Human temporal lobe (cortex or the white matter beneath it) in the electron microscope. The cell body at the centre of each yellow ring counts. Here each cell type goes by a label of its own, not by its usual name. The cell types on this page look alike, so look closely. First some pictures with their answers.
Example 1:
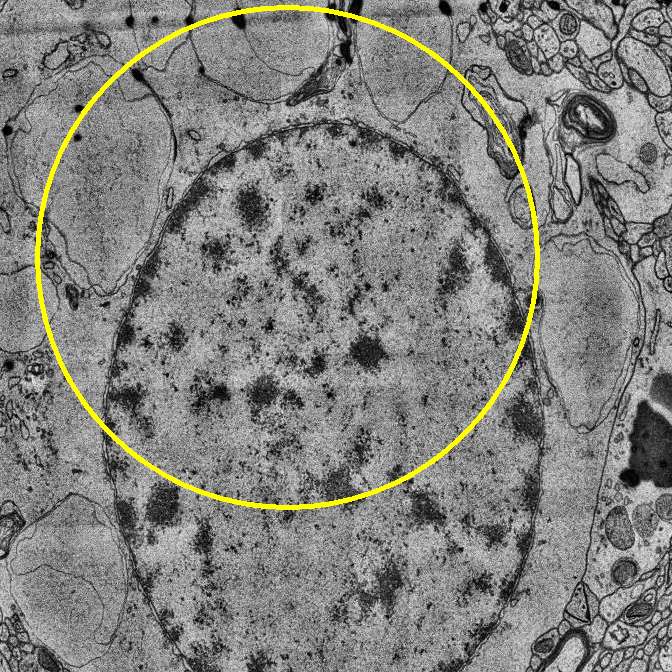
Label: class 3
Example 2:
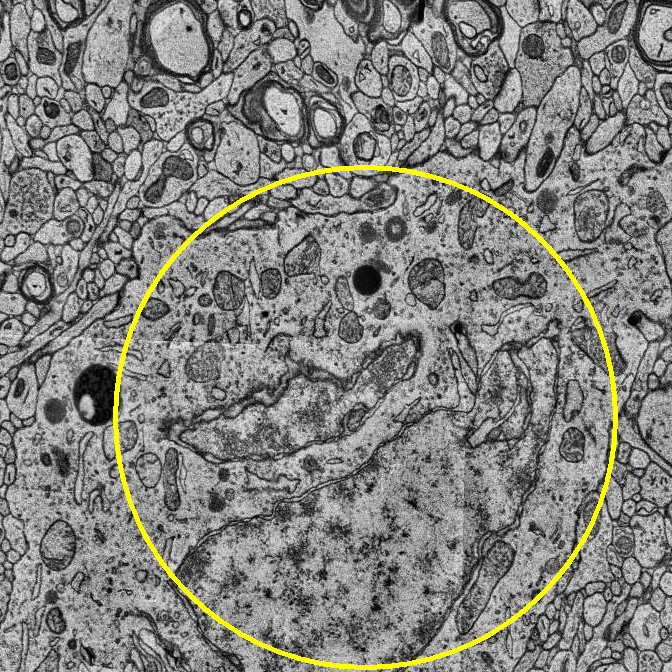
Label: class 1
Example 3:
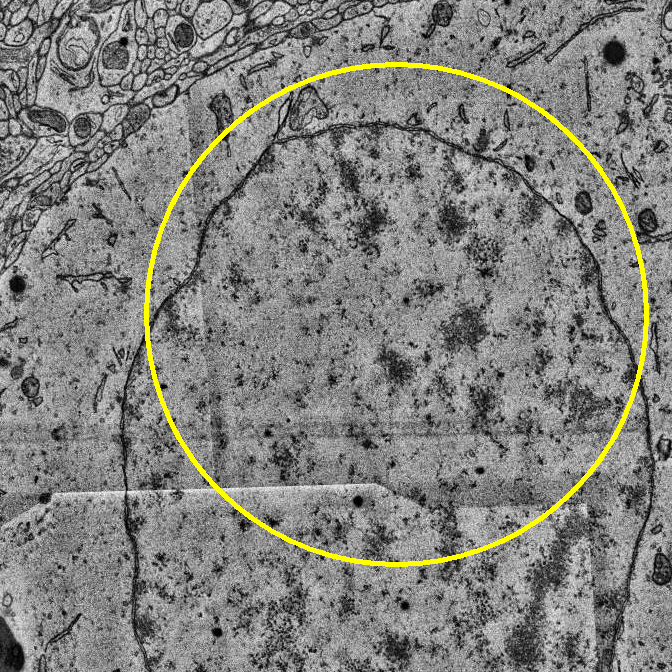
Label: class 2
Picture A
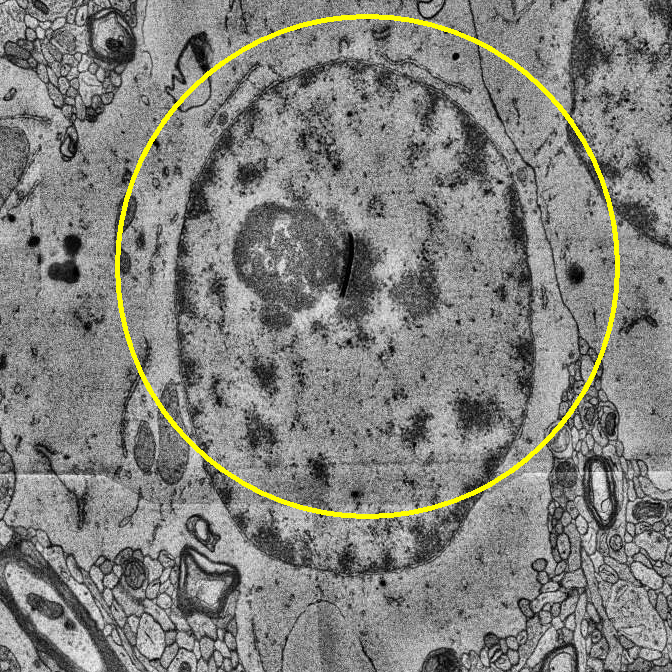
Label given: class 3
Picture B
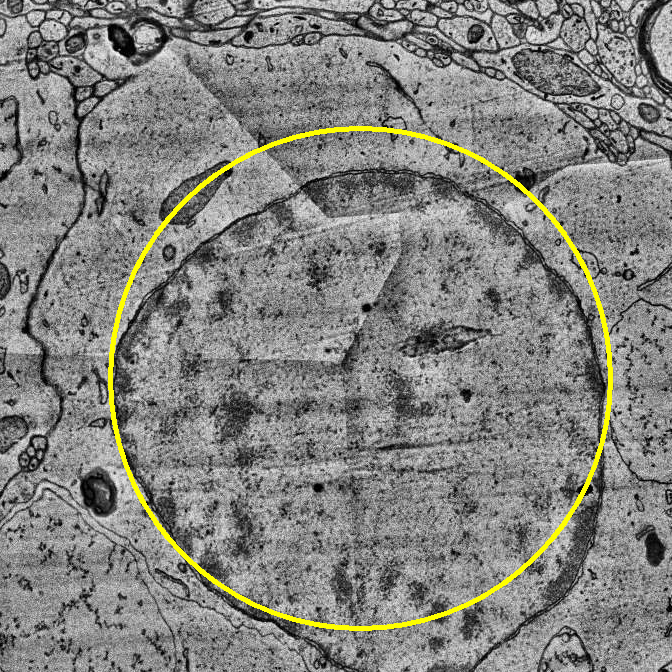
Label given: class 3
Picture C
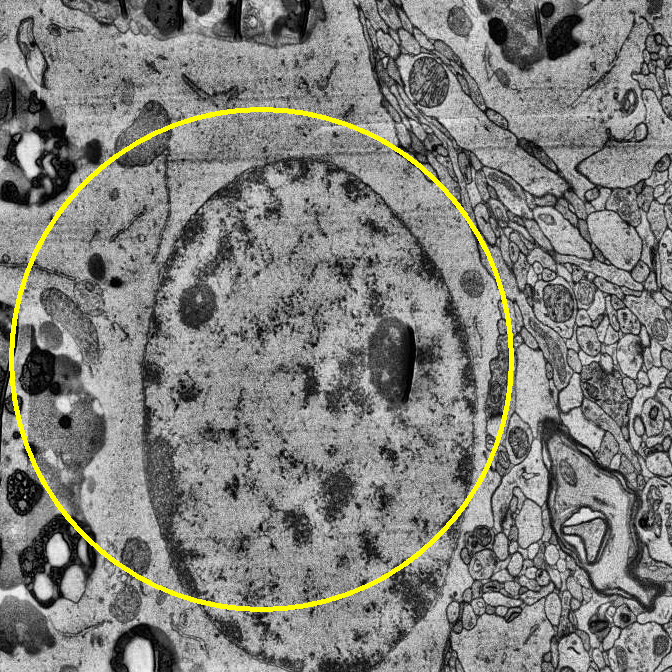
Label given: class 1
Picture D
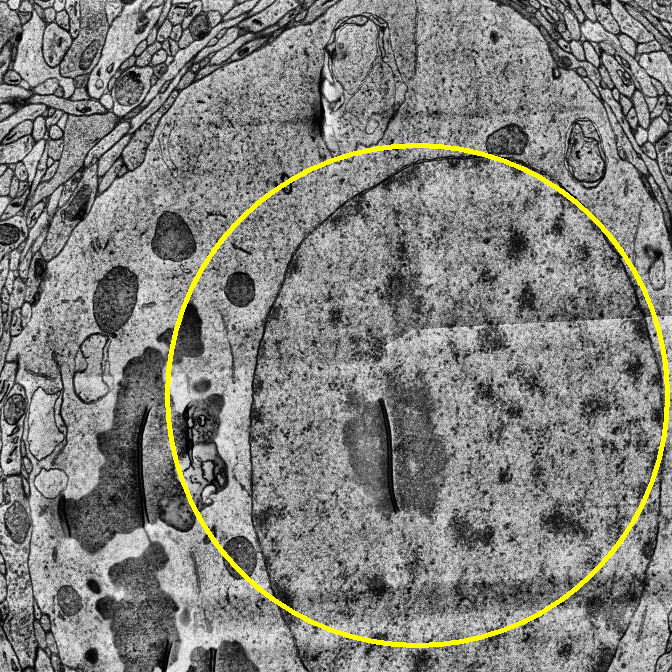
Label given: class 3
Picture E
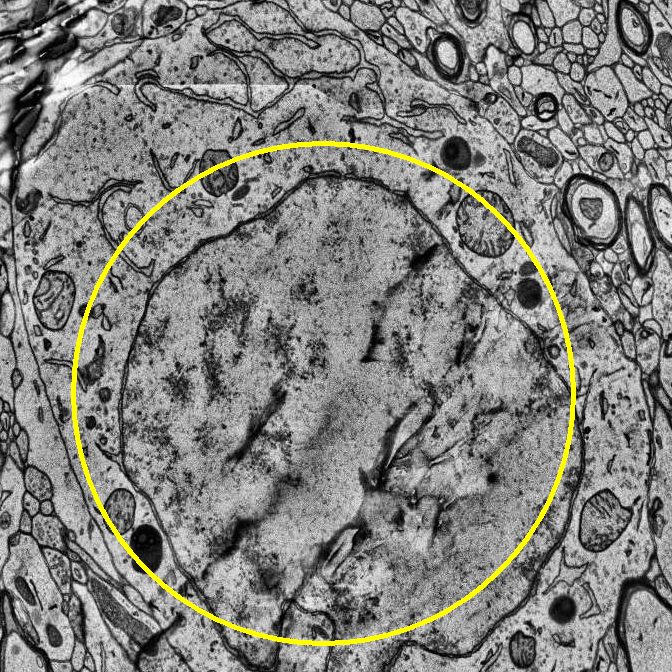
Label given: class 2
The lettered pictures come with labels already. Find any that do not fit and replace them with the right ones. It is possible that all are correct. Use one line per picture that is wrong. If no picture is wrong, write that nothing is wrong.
C should be class 3, not class 1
